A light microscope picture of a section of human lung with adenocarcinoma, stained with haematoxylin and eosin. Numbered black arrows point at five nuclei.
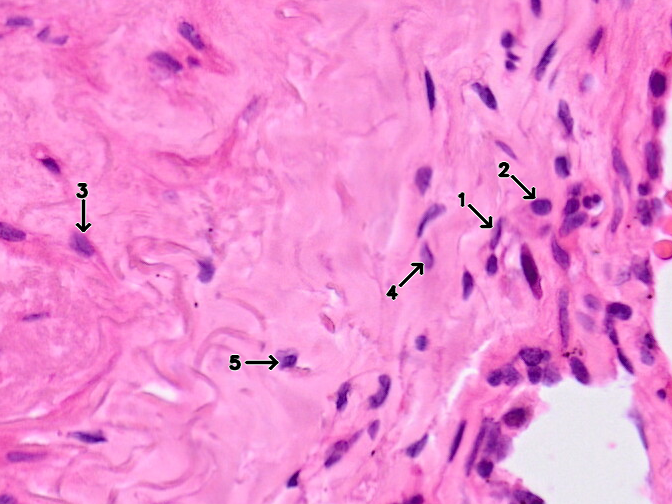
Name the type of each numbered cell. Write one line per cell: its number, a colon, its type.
1: fibroblast
2: lymphocyte
3: smooth muscle cell or pericyte
4: fibroblast
5: fibroblast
